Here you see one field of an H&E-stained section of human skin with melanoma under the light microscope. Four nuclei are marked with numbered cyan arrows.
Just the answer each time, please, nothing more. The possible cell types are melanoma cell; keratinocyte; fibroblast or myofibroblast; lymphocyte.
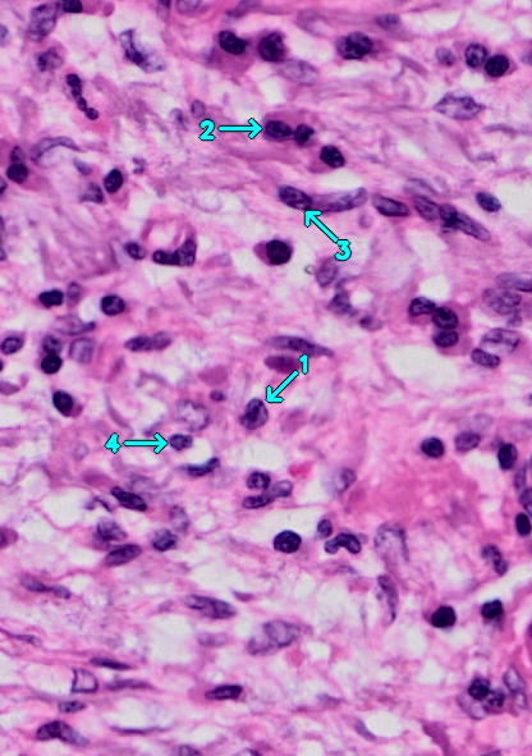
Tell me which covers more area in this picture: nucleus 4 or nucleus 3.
3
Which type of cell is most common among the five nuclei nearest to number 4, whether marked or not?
fibroblast or myofibroblast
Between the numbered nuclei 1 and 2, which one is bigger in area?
1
